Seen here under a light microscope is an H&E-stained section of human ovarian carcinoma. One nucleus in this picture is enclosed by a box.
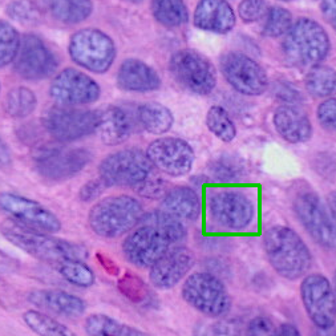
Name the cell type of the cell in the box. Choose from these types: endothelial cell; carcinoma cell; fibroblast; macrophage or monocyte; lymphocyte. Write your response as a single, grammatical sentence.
Students should answer that the cell in the box is a carcinoma cell.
